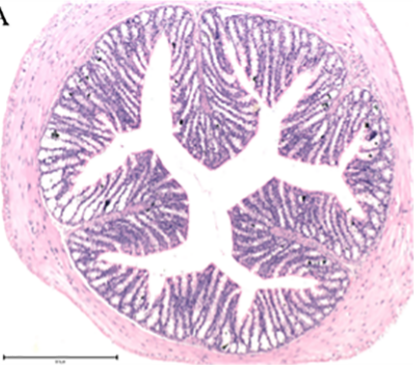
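A cross-section of colon in which the mucosa is thrown into folds around a branched, star-shaped lumen. Straight, closely packed crypts stained purple run perpendicular to the surface, resting on a thin pale submucosa, and the whole is enclosed by a continuous pink ring of smooth muscle.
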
